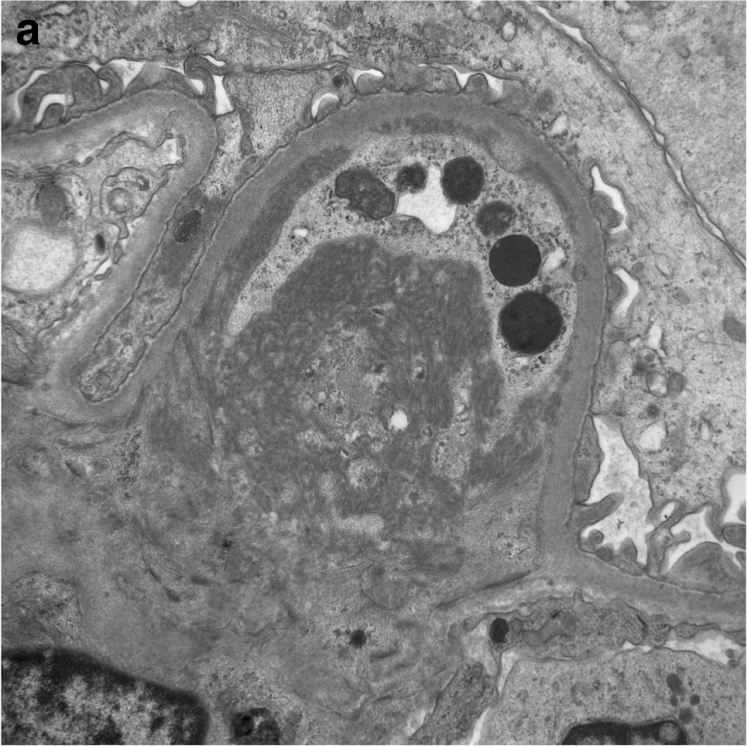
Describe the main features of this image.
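A glomerular capillary loop fills the centre. Its wall is a thick, even grey band of basement membrane, and podocyte foot processes rest on its outer side with pale spaces between them. Inside the loop lies a cell containing several round, very dense granules. At the lower left is part of a nucleus with clumped chromatin, set in a widened zone of grey matrix. Together these suggest material laid down beneath the endothelium and in the mesangium of the glomerulus.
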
